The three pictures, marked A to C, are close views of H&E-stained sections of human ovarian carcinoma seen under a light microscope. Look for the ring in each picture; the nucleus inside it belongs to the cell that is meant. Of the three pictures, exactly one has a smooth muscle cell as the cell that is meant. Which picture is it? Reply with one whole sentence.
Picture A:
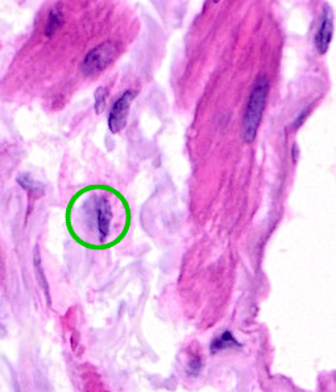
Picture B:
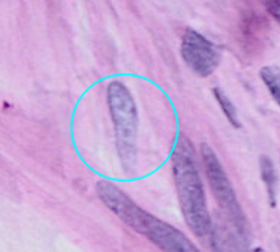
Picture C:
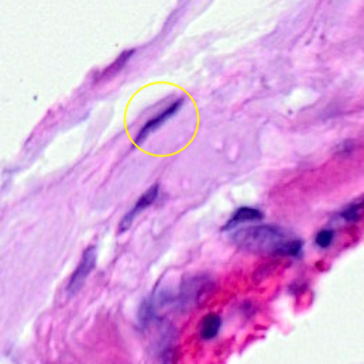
It is picture B that shows the smooth muscle cell.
